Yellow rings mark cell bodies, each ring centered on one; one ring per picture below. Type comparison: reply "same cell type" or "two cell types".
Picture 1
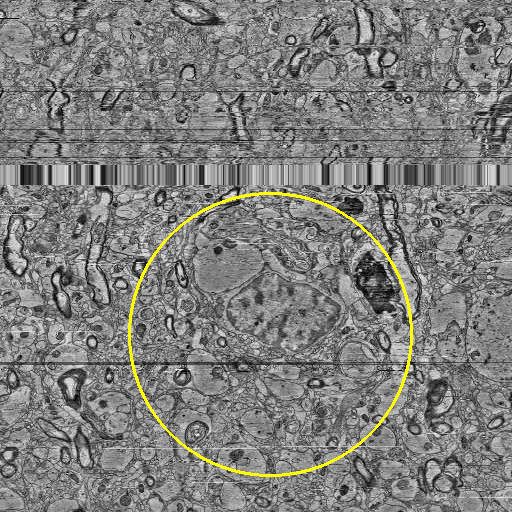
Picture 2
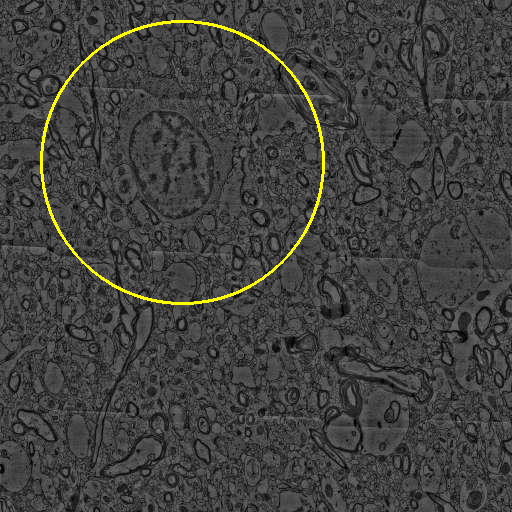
same cell type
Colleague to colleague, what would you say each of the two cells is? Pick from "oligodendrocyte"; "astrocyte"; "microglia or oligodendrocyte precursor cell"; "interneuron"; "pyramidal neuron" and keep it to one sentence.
The first and the second cell are each an oligodendrocyte.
